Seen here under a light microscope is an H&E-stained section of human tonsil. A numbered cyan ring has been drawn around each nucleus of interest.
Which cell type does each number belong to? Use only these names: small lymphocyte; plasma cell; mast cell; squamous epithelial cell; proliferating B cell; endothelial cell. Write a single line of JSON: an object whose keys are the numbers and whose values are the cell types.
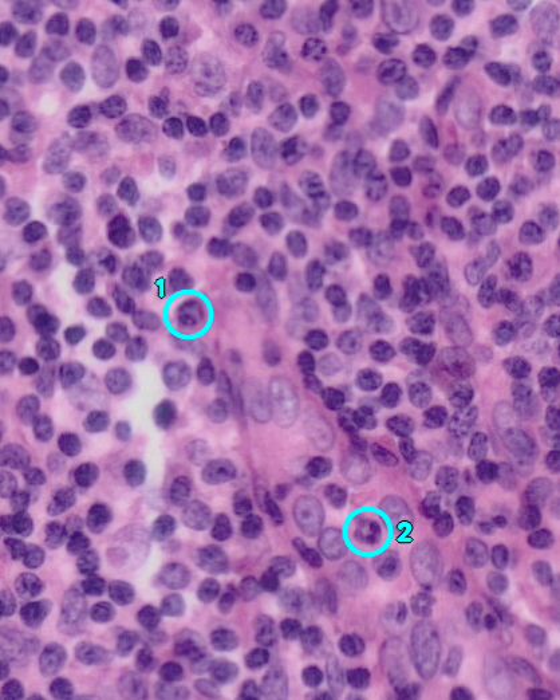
{"1": "plasma cell", "2": "endothelial cell"}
